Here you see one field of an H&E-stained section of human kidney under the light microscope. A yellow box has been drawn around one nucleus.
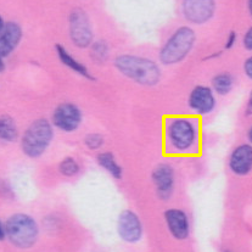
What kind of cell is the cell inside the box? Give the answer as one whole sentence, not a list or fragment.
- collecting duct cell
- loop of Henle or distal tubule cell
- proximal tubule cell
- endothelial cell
In the tissue under study, the cell inside the box is a collecting duct cell.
